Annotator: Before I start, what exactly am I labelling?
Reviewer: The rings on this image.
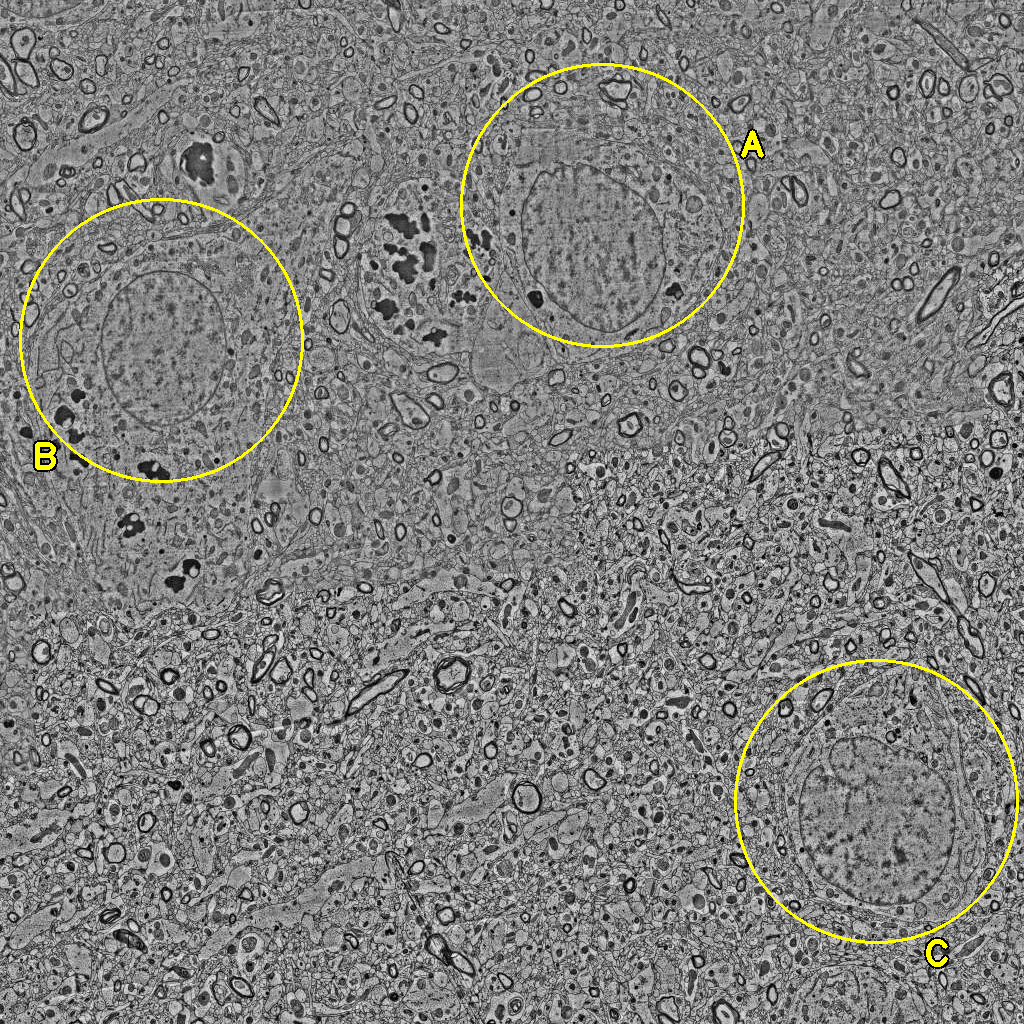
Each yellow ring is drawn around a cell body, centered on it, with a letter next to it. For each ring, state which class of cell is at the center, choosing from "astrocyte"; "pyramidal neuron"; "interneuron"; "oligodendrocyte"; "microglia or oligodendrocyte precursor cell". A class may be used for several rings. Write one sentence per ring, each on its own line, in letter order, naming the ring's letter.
At the center of ring A we have a pyramidal neuron.
At the center of ring B we have a pyramidal neuron.
At the center of ring C we have an interneuron.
